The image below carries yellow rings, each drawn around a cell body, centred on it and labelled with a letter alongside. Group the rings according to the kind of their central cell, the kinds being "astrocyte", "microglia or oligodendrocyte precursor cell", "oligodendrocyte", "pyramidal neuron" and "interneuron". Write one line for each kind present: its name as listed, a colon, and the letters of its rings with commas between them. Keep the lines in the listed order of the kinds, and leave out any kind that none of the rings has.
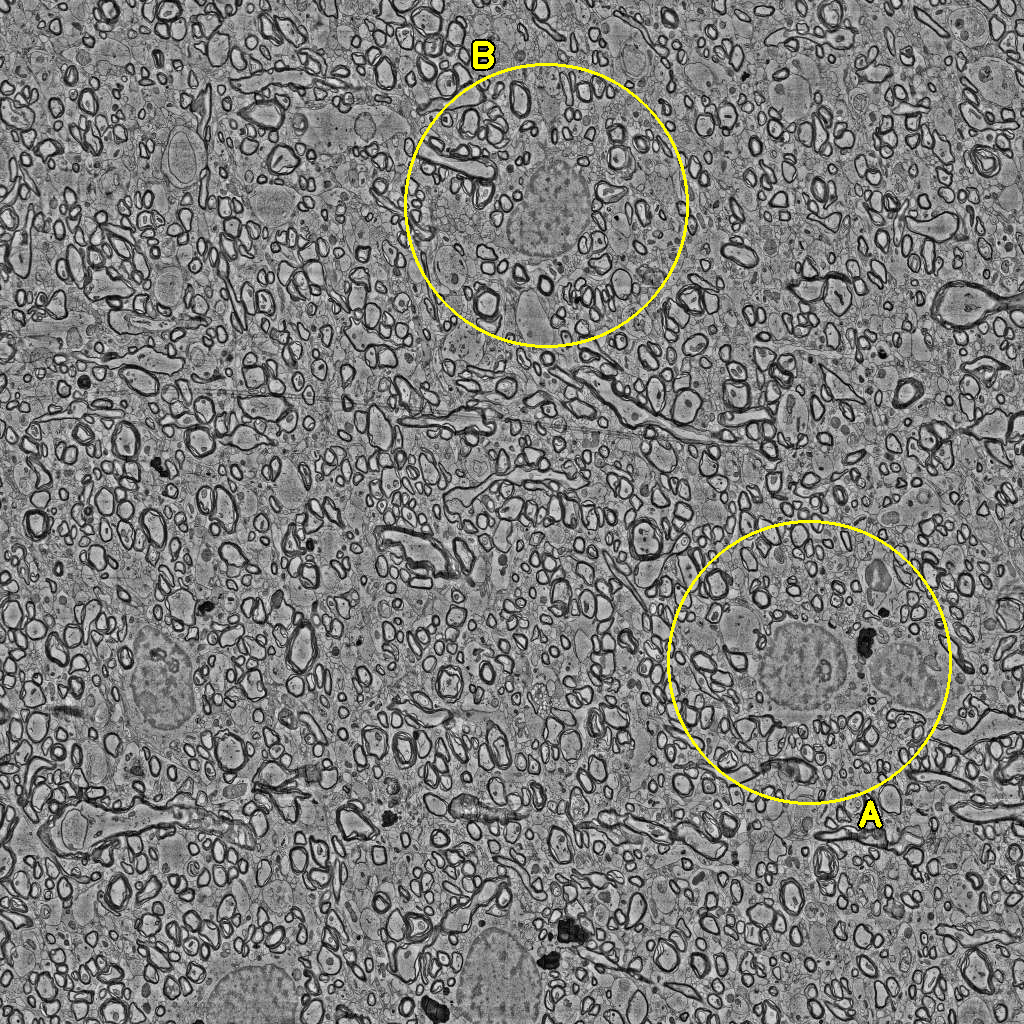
oligodendrocyte: A, B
